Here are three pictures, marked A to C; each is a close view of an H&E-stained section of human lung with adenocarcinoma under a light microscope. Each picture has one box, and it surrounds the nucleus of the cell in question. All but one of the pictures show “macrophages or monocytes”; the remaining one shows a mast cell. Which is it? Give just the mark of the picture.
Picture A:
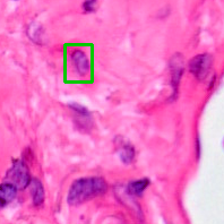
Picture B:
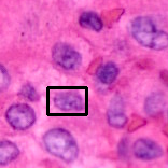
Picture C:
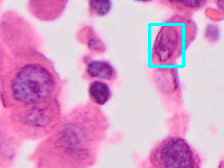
A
